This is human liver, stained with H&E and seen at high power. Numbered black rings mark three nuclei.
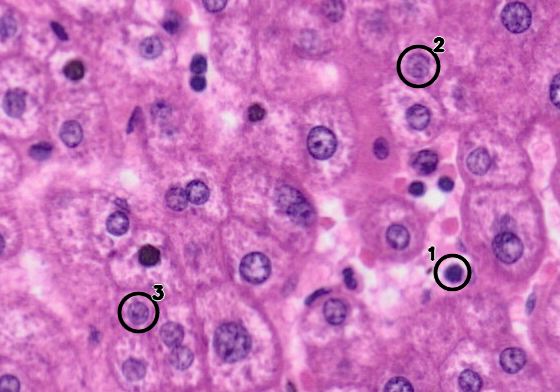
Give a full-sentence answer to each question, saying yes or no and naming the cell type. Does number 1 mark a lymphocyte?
Yes, in this section the cell with number 1 is a lymphocyte.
